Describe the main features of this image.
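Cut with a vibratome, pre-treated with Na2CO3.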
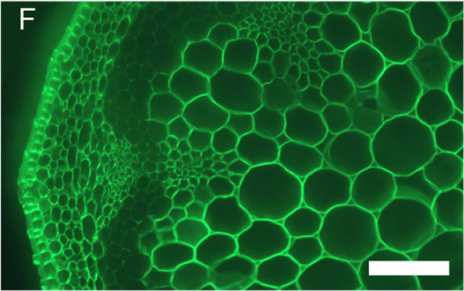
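A transverse section through a stem, with green fluorescence outlining the cell walls of all tissues. At the left a curved outer surface is edged by a row of small, regular epidermal cells, followed by several layers of small cortical parenchyma cells. Further in lies a vascular bundle of very small, densely packed cells. The centre and right are filled with large, thin-walled, polygonal pith parenchyma cells, their walls brightly and evenly fluorescent and their lumens dark.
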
